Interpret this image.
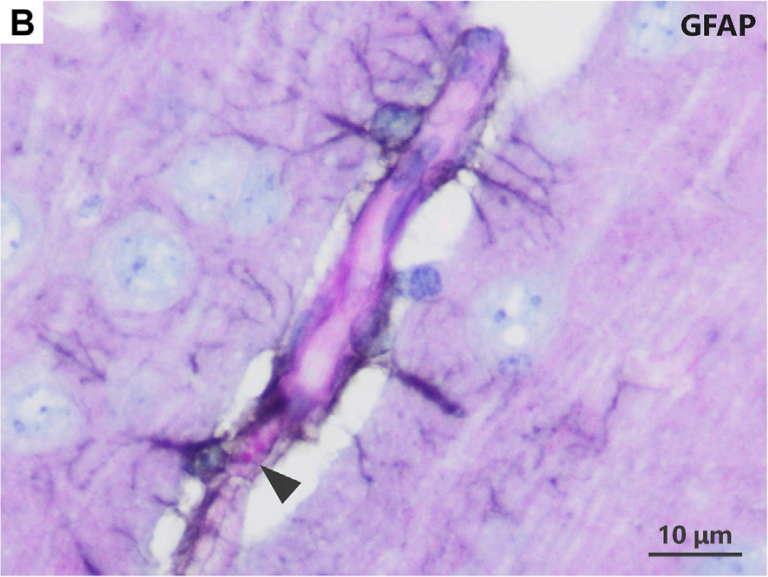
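A small blood vessel runs diagonally through pink-violet brain tissue, and around it lie several star-shaped cells stained black, with many thin, branching processes. Many of these processes run toward the vessel and end on its outer wall, so the vessel looks sheathed in black. The vessel wall itself is stained a strong magenta, and at one point beside it a cell holds small magenta granules. Around the vessel lie large round pale nuclei with fine chromatin, typical of neurons in the neuropil.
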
